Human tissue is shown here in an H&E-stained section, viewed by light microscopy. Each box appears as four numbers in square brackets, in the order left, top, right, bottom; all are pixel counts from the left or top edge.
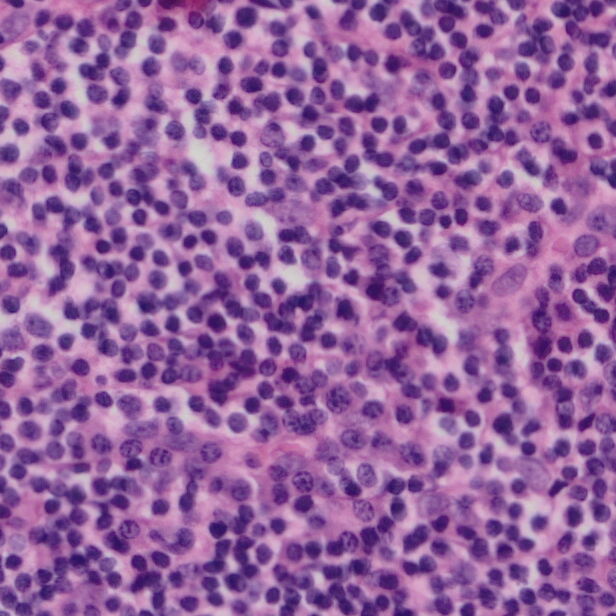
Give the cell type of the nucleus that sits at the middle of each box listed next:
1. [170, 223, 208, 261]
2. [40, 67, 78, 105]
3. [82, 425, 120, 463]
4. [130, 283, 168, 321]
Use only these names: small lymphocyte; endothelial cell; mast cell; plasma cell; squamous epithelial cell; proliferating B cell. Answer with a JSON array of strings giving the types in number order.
["small lymphocyte", "small lymphocyte", "plasma cell", "small lymphocyte"]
